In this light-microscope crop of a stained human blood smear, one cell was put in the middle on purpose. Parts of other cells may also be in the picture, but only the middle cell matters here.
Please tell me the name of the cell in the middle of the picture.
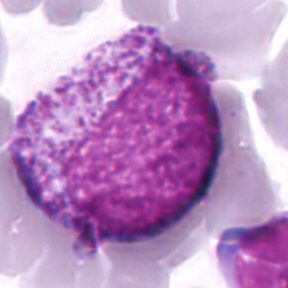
promyelocyte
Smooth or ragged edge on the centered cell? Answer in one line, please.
The cytoplasmic margin is uneven, whether through ragged segments or through projections.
